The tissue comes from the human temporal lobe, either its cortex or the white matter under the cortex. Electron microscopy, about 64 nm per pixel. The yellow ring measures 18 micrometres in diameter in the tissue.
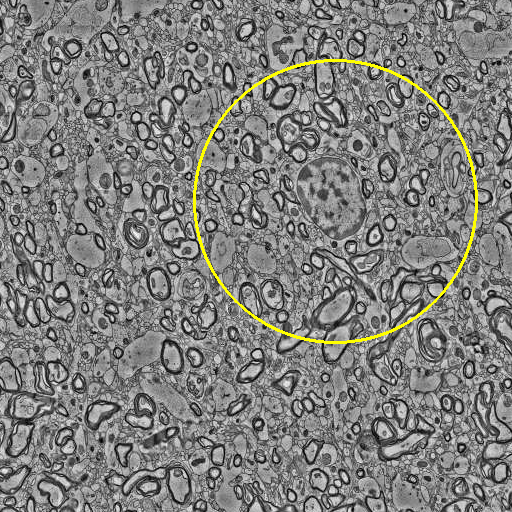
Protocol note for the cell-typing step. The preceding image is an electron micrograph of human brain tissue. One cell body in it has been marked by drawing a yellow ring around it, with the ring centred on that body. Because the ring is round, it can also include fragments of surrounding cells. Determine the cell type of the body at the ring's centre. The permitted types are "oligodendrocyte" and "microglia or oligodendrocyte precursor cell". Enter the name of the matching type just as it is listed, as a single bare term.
microglia or oligodendrocyte precursor cell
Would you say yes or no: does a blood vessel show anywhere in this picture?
No, none appears.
